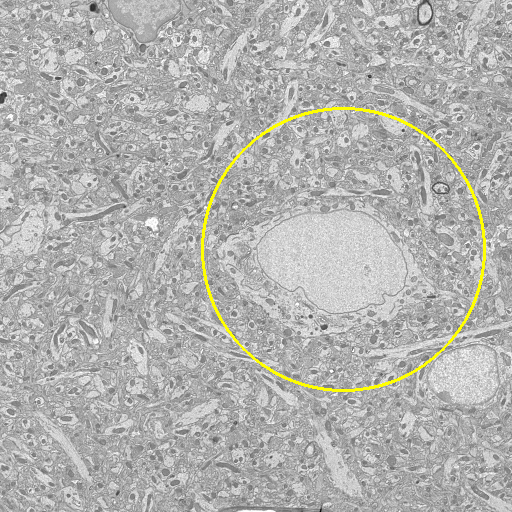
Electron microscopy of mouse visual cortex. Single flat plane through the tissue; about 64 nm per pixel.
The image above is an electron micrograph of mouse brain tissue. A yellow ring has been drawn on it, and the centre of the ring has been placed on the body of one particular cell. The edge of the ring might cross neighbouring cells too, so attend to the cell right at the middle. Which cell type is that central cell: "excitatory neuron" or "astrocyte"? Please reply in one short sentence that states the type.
The central cell in the ring is an excitatory neuron.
